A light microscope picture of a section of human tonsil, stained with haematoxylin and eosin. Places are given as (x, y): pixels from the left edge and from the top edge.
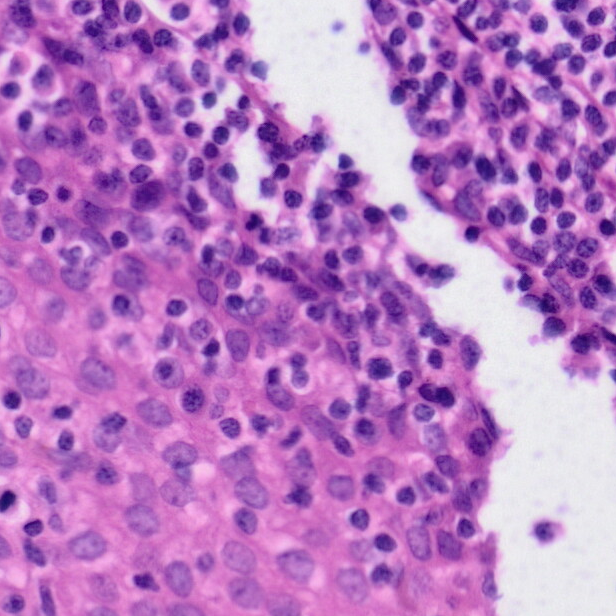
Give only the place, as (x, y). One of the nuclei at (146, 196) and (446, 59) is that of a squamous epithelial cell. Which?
(146, 196)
